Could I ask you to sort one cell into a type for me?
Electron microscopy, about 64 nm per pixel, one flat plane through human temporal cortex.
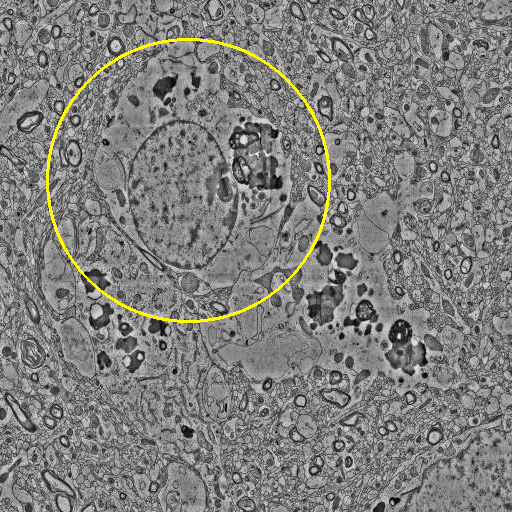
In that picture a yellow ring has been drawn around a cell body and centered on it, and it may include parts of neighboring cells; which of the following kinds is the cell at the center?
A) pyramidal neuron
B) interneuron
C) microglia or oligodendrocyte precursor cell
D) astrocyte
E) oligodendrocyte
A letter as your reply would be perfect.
D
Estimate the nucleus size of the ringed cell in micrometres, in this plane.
About 9 by 7 micrometers, in this plane.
